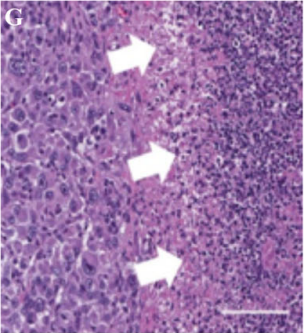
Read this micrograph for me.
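On the left lie large tumor cells with round purple nuclei and pink cytoplasm; toward the right they give way to a pale, frayed zone where cell outlines vanish, and beyond it a broad area crowded with small, dark, fragmented nuclei. The pale zone and dark debris mark extensive necrosis bordering surviving tumor.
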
